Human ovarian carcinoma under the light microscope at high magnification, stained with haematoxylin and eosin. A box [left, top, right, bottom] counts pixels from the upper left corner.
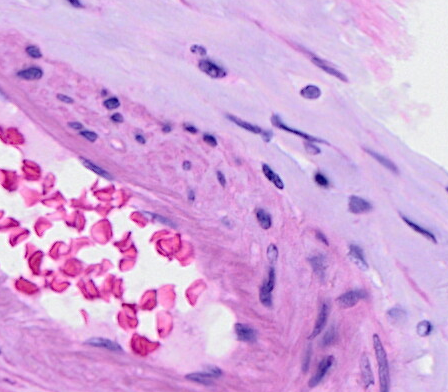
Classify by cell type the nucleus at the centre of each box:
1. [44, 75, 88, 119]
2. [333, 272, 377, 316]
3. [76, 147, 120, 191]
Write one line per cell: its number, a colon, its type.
1: smooth muscle cell
2: smooth muscle cell
3: endothelial cell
